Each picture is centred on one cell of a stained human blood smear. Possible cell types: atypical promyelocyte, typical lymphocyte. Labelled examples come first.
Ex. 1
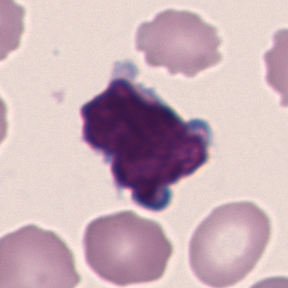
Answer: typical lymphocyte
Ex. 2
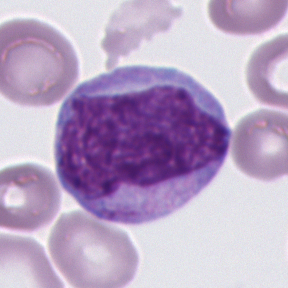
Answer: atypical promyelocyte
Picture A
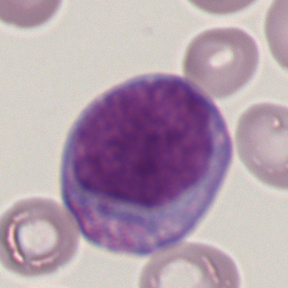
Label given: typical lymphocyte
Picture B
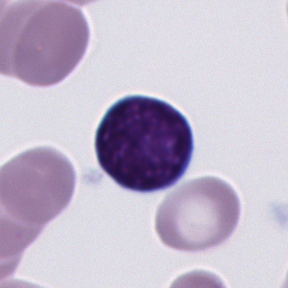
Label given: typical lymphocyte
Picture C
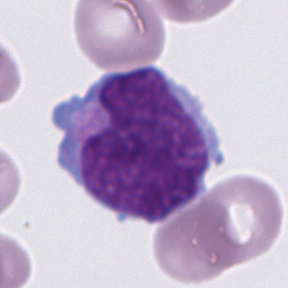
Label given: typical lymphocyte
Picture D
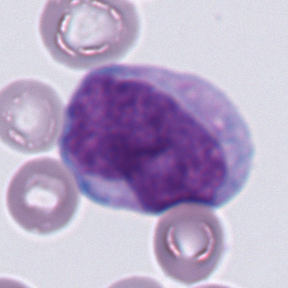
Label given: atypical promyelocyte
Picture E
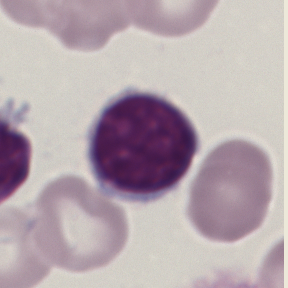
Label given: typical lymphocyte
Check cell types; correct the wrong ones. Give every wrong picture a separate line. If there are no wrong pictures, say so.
A is labelled typical lymphocyte; correct label: atypical promyelocyte
C is labelled typical lymphocyte; correct label: atypical promyelocyte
